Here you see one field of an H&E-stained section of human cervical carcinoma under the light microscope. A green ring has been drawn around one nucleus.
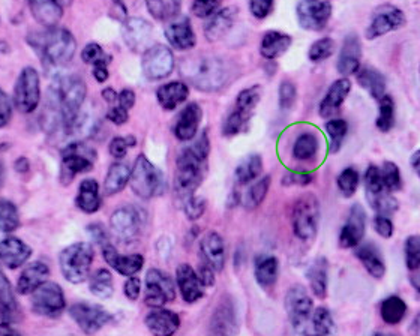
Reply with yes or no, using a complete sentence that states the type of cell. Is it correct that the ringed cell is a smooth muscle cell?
No, the ringed cell qualifies as a lymphocyte and does not qualify as a smooth muscle cell.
